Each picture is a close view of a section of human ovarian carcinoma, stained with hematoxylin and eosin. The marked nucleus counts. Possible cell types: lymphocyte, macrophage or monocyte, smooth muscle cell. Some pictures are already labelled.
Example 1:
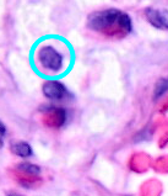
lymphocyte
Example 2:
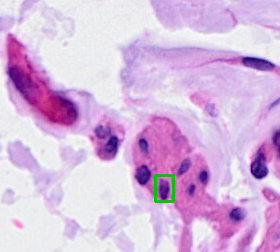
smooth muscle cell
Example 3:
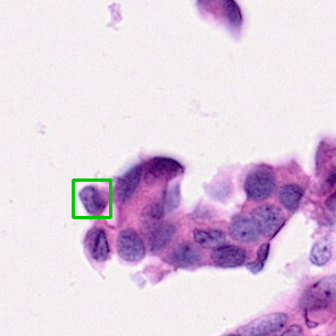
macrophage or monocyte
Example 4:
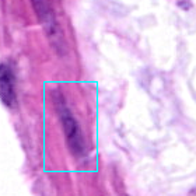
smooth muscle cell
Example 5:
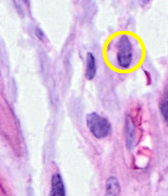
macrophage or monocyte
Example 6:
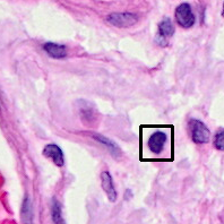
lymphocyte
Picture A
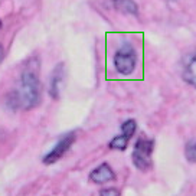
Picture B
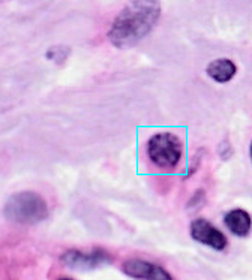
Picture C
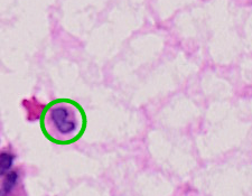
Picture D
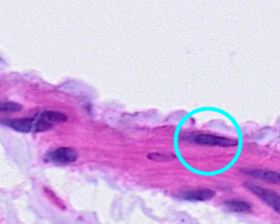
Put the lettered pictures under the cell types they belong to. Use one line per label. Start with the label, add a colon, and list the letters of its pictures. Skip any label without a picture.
lymphocyte: B
macrophage or monocyte: A, C
smooth muscle cell: D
